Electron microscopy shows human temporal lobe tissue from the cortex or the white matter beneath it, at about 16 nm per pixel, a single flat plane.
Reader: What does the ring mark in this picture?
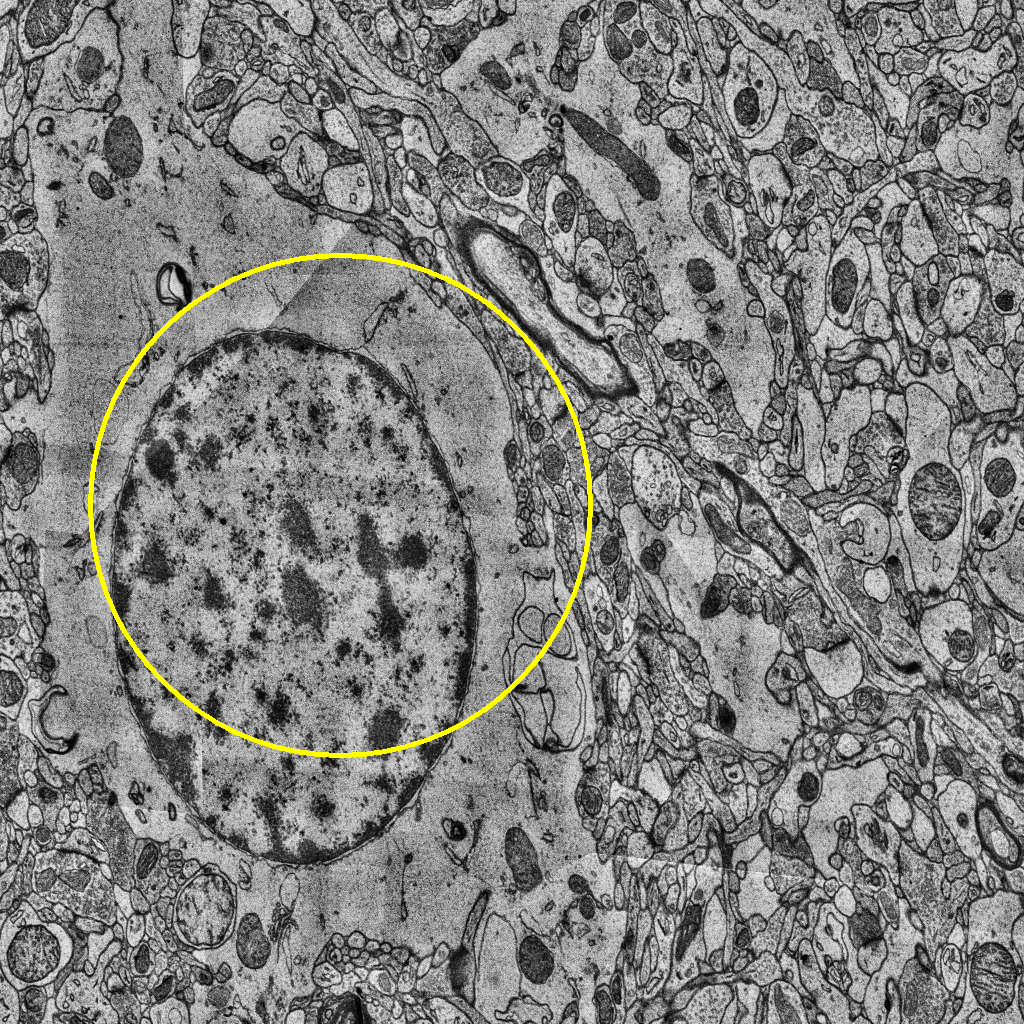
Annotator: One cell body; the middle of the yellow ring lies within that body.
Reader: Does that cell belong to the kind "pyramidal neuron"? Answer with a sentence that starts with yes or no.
No, the cell at the ring's centre in this picture is of another kind.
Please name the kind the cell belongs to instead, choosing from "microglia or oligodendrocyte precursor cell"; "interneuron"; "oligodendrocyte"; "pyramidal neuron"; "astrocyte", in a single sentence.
The ring's central cell is an astrocyte instead.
